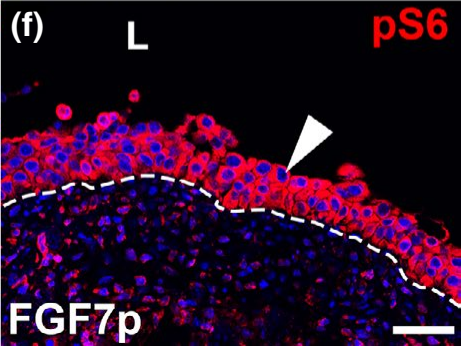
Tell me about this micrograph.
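The epithelial cells are large and rounded with blue nuclei, and their cytoplasm is filled with bright red, so each cell stands out in outline. A few rounded red cells sit loose at the surface facing the lumen, while the stroma beneath holds smaller, scattered nuclei with little red.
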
